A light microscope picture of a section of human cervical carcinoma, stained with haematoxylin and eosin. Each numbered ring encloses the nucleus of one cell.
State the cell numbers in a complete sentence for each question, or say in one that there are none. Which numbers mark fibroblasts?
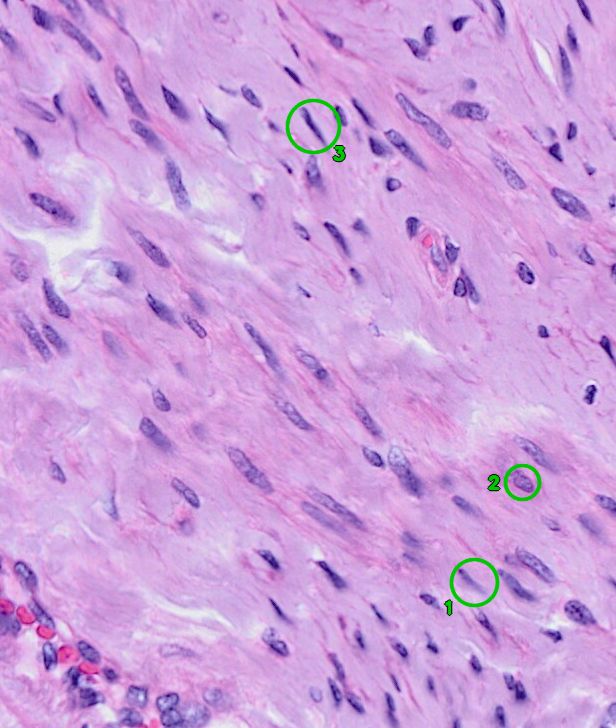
When it comes to cells 1 and 3, they are fibroblasts.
